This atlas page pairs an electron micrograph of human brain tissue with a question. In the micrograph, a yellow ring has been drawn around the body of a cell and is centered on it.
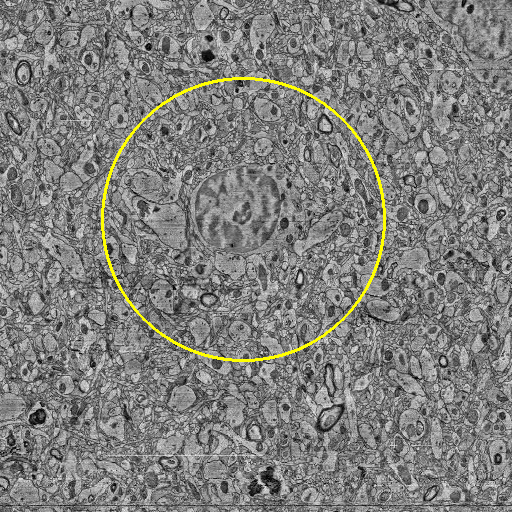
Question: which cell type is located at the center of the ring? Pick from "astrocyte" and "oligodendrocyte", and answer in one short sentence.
Located at the center of the ring is an oligodendrocyte.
